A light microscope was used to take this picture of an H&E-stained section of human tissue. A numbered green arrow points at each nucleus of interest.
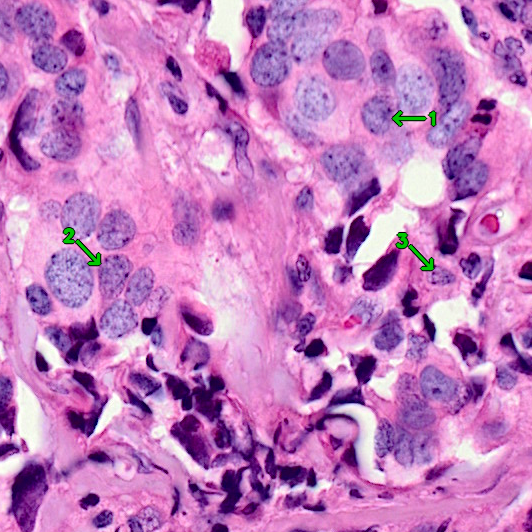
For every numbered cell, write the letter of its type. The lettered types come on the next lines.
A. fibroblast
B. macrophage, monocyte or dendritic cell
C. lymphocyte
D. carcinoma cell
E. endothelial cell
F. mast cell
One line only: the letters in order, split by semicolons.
D; D; B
